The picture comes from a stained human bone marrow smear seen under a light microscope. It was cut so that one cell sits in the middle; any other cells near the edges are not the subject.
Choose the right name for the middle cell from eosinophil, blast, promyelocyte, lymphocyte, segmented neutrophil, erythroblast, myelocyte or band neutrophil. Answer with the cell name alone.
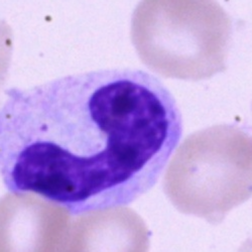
band neutrophil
